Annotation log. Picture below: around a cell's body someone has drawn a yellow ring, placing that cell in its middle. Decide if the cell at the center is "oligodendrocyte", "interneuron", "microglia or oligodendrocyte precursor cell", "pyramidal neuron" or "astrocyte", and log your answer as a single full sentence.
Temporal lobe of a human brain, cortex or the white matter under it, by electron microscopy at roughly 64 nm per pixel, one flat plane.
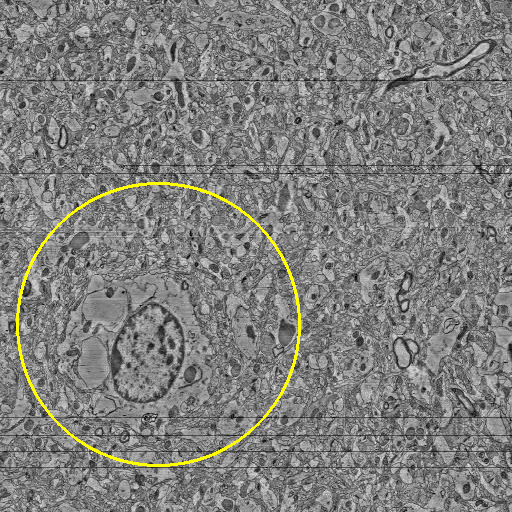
My entry records an astrocyte as the cell sitting at the center of the yellow ring.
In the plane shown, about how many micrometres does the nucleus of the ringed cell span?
Approximately 7 by 4 micrometers in this plane.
